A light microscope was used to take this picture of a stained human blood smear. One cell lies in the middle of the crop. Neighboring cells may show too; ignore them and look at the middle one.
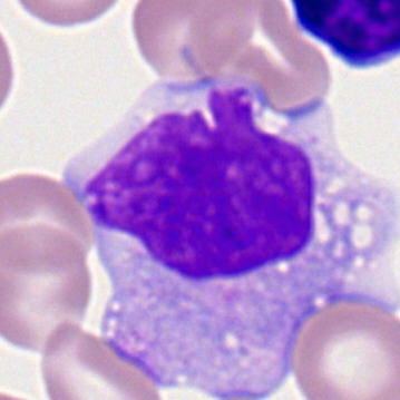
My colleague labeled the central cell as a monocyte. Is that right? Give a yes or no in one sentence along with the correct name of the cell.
Yes, the cell at the centre of the field is a monocyte.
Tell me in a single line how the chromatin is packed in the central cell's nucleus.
The chromatin shows a fine pattern without coarse clumps.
